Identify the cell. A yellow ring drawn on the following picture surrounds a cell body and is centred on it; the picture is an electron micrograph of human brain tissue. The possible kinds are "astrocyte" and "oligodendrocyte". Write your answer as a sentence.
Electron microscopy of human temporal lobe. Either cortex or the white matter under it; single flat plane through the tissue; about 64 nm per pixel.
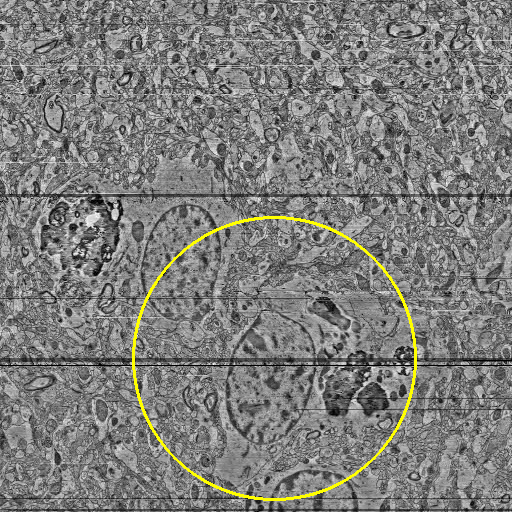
The cell identified by the ring is an astrocyte.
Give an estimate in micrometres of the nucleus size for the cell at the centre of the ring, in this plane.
The nucleus of the ringed cell is clearly longer than it is wide in this plane, about 9 by 5 micrometres.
